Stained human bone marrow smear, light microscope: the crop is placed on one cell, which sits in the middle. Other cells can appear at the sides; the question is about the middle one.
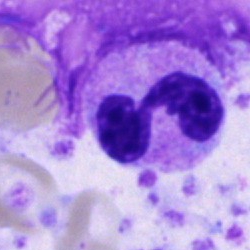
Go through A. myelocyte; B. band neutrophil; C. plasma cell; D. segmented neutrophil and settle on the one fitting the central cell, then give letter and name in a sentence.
Well, the cell in the middle is a segmented neutrophil, making option D right.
